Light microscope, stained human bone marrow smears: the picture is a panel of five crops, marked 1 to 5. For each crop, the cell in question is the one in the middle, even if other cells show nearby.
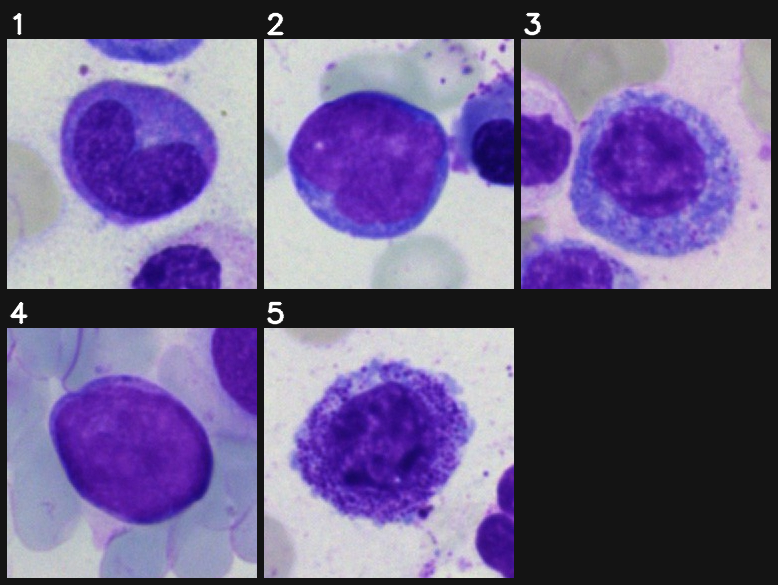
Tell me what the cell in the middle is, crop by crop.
1: monocyte
2: blast
3: promyelocyte
4: blast
5: myelocyte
